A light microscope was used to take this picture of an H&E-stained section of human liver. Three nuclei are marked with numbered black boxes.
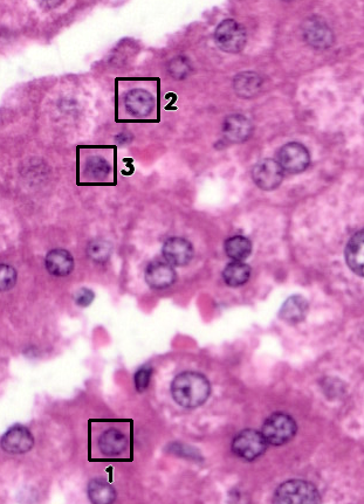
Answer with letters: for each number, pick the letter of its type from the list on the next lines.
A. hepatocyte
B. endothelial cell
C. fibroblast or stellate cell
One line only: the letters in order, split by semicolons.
A; A; B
